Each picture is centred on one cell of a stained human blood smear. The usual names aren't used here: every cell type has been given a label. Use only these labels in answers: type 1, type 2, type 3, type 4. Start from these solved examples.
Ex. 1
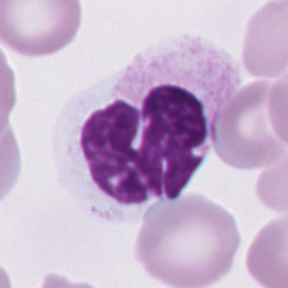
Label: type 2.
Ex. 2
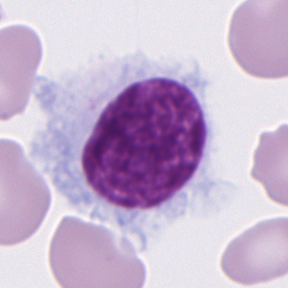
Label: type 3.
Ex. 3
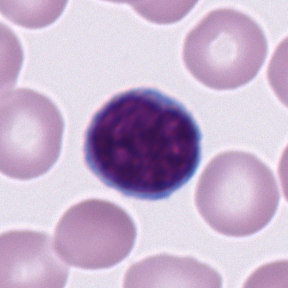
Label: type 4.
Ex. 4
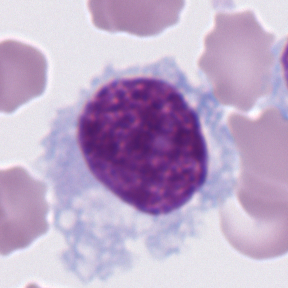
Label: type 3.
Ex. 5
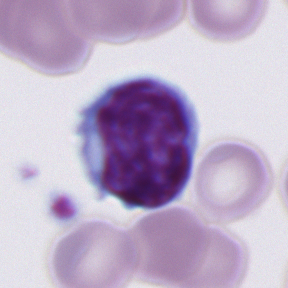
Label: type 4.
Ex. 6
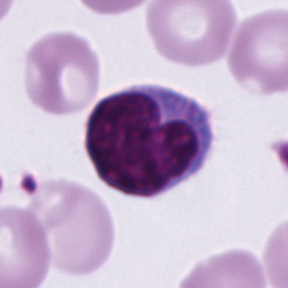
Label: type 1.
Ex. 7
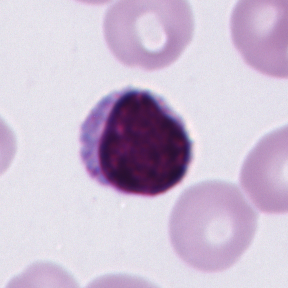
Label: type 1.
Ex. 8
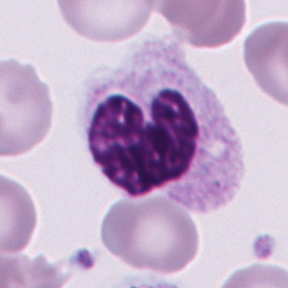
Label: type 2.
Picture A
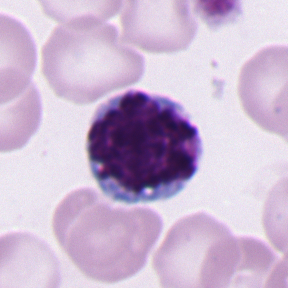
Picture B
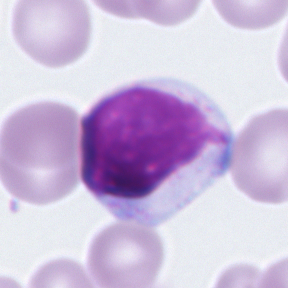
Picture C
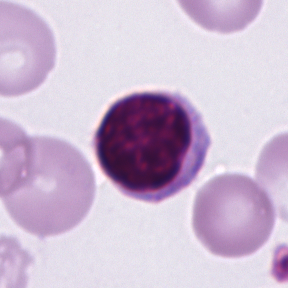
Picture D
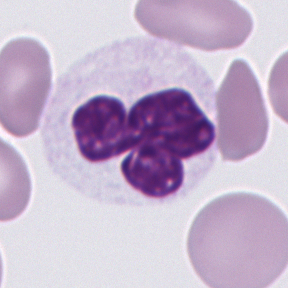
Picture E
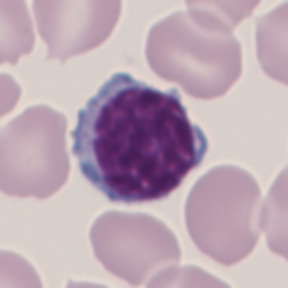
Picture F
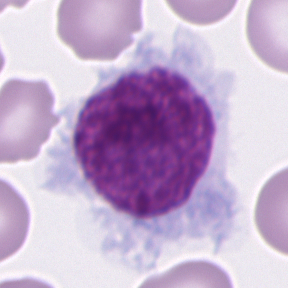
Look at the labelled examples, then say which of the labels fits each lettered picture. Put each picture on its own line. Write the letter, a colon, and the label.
A: type 4.
B: type 1.
C: type 4.
D: type 2.
E: type 4.
F: type 3.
